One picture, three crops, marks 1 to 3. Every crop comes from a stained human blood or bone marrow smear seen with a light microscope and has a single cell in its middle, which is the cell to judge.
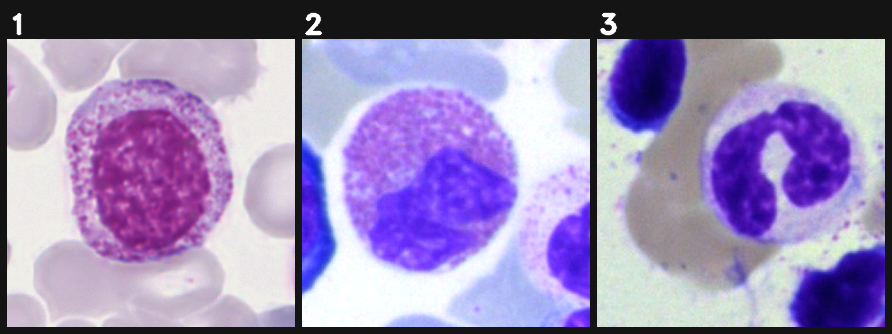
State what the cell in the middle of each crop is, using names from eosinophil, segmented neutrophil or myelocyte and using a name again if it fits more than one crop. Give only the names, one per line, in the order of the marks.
myelocyte
eosinophil
segmented neutrophil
